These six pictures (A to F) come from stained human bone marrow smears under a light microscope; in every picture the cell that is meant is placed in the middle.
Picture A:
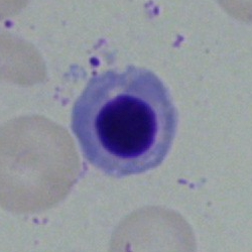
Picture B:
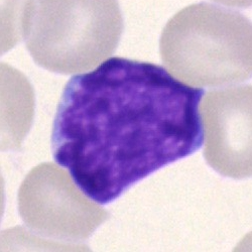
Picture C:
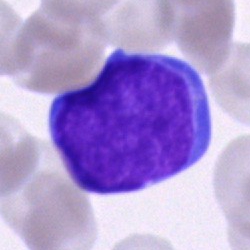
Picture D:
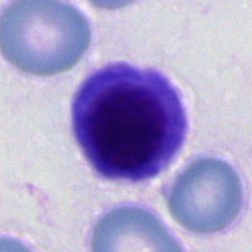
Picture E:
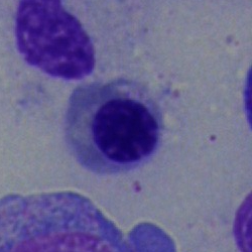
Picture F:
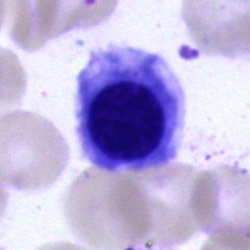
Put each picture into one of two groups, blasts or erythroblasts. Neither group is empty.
A: erythroblast
B: blast
C: blast
D: erythroblast
E: erythroblast
F: erythroblast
